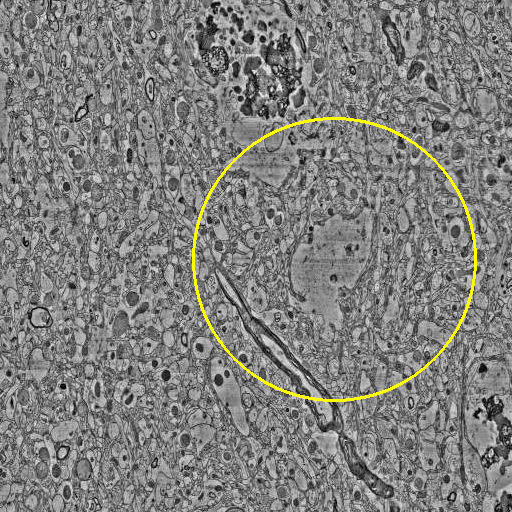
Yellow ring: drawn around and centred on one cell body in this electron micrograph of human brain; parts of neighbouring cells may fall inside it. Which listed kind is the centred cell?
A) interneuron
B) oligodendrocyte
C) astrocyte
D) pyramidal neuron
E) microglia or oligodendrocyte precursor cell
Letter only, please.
C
